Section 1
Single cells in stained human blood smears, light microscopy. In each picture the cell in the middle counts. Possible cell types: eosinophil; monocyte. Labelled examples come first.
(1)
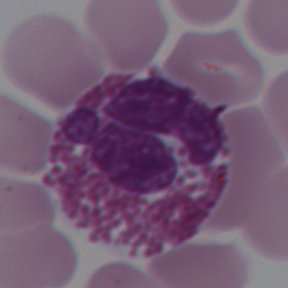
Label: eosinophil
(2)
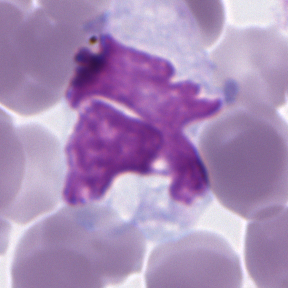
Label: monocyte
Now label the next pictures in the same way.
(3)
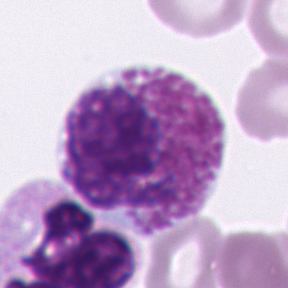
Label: eosinophil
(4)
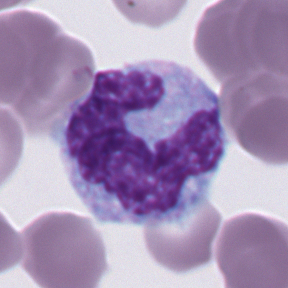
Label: monocyte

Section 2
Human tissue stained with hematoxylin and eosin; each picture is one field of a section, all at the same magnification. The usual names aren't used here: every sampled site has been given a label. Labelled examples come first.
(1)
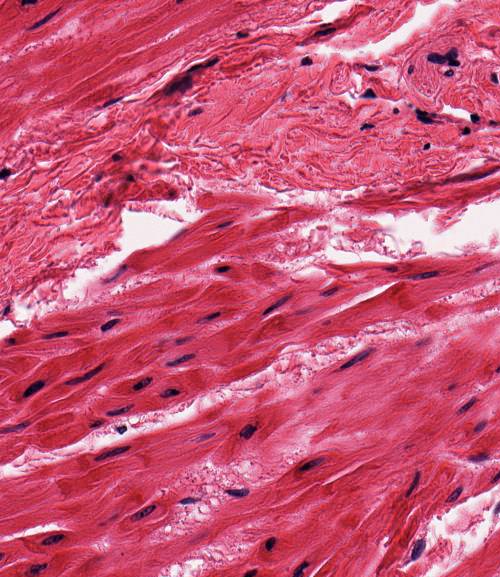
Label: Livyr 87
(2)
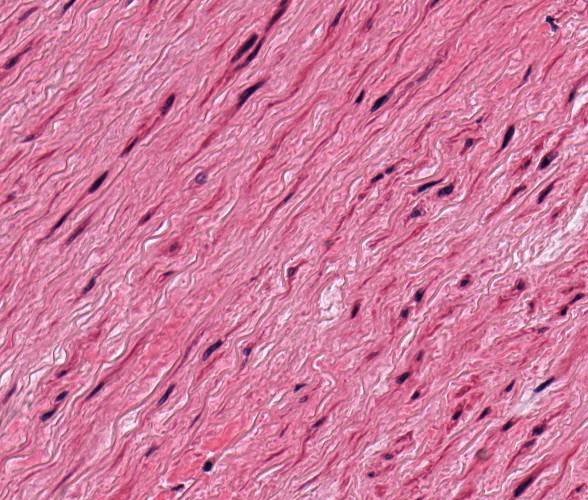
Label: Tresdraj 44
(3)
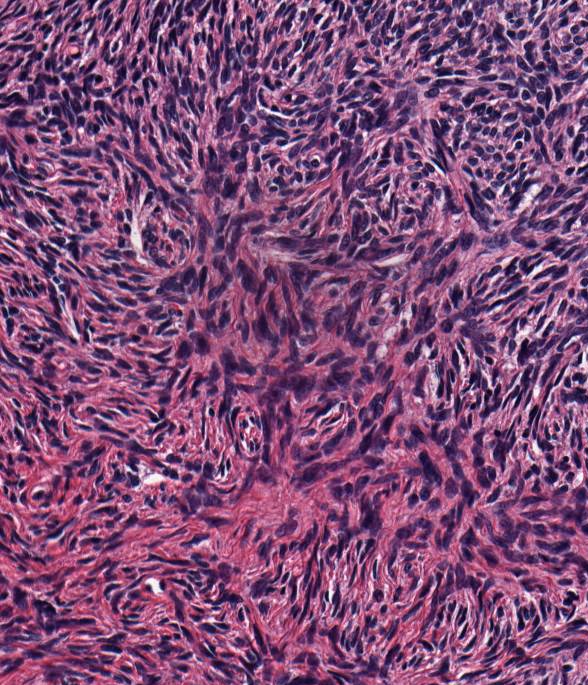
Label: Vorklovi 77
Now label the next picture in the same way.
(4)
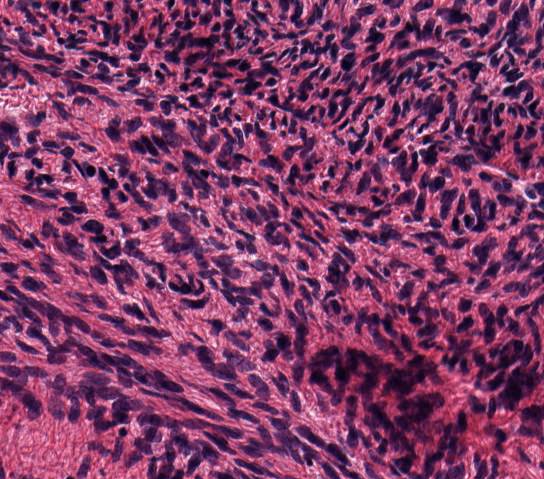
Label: Vorklovi 77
